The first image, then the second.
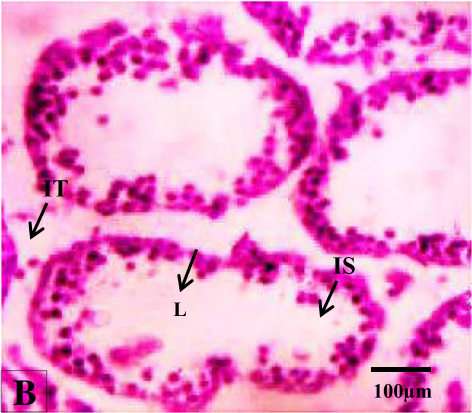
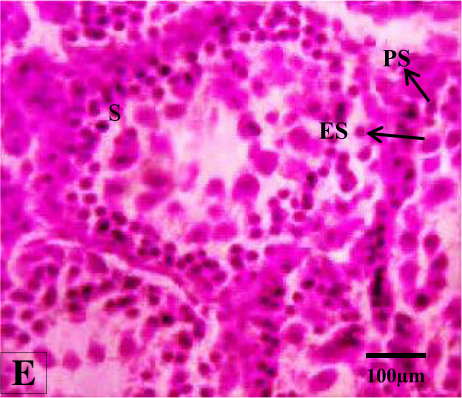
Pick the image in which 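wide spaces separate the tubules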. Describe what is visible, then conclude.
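First image: tubular profiles are separated by broad pale empty areas.
Answer: the first image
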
